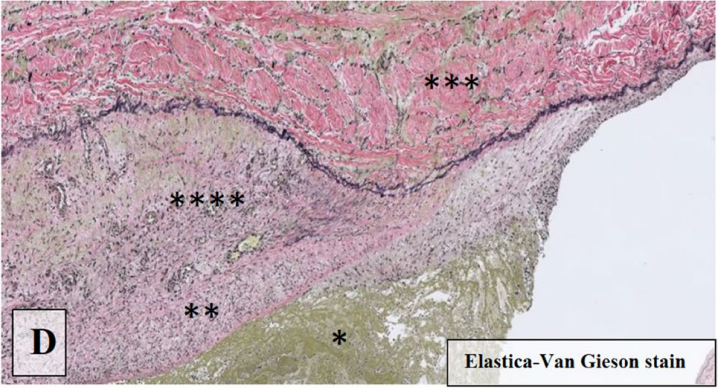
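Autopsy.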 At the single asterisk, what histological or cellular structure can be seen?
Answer: Thrombus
